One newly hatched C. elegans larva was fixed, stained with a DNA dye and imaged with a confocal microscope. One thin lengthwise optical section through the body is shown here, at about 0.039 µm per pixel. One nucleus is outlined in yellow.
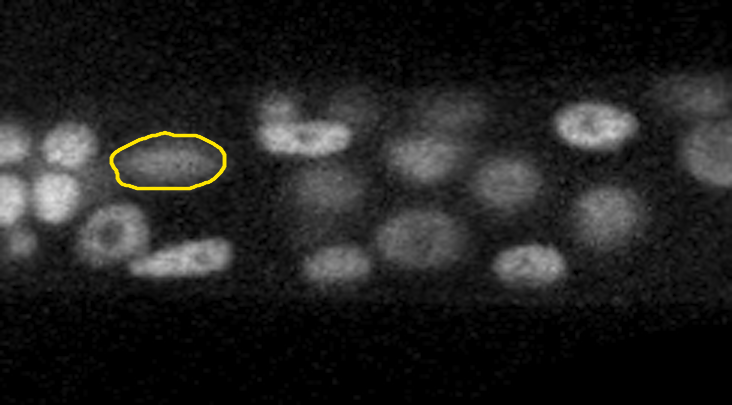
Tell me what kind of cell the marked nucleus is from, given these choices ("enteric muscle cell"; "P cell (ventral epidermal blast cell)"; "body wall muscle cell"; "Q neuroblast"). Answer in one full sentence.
The nucleus comes from an enteric muscle cell.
